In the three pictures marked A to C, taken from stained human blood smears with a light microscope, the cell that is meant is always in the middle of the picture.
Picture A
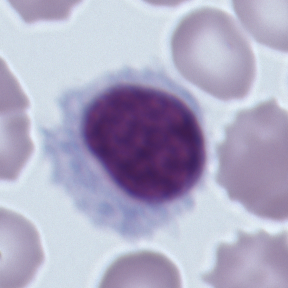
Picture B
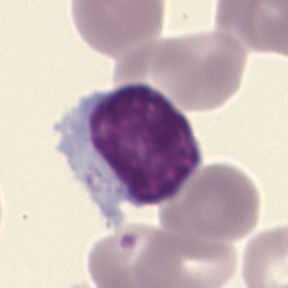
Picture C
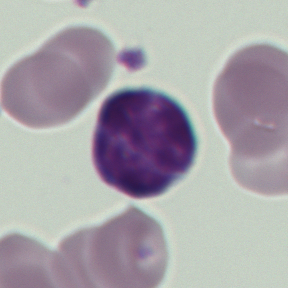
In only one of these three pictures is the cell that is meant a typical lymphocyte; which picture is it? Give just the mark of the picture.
C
